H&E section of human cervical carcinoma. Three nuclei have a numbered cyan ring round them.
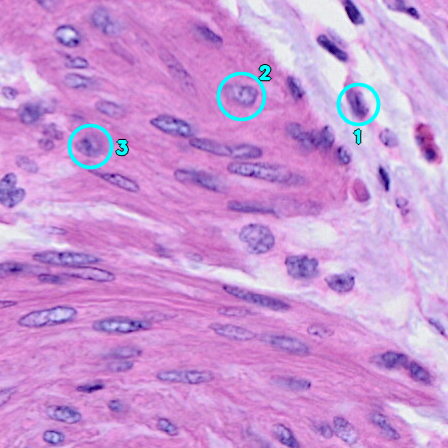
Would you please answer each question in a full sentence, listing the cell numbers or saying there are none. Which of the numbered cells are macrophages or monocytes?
Cell 1 is a macrophage or monocyte; every other numbered cell is something else.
